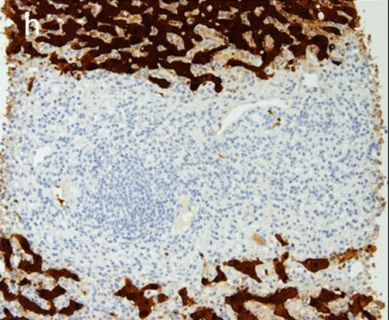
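Liver biopsy in which a broad unstained central band of inflammatory cells, seen as crowded small blue nuclei with a denser rounded cluster, lies between brown-stained normal hepatic parenchyma. The brown parenchyma at the upper and lower edges forms anastomosing cords separated by pale sinusoidal channels.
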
